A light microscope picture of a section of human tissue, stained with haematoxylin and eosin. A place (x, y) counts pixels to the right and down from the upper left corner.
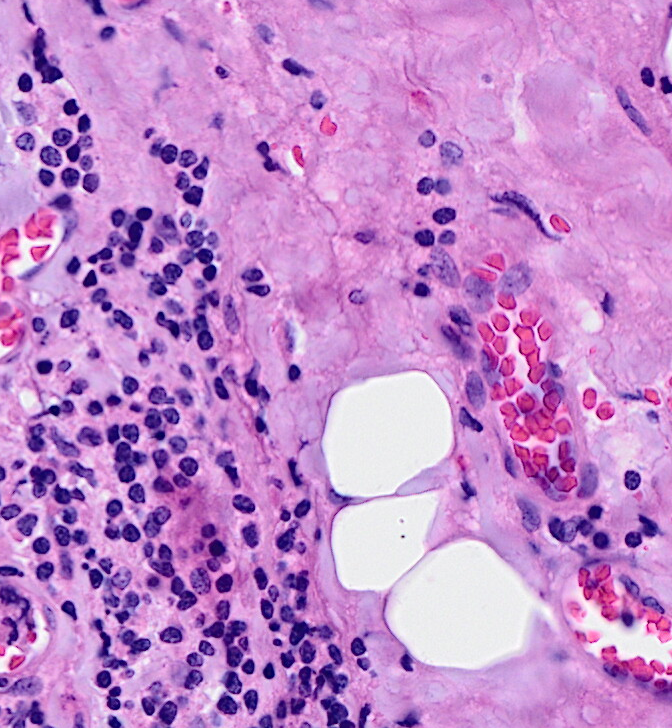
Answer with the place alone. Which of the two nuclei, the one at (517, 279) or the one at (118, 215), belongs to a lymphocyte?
(118, 215)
